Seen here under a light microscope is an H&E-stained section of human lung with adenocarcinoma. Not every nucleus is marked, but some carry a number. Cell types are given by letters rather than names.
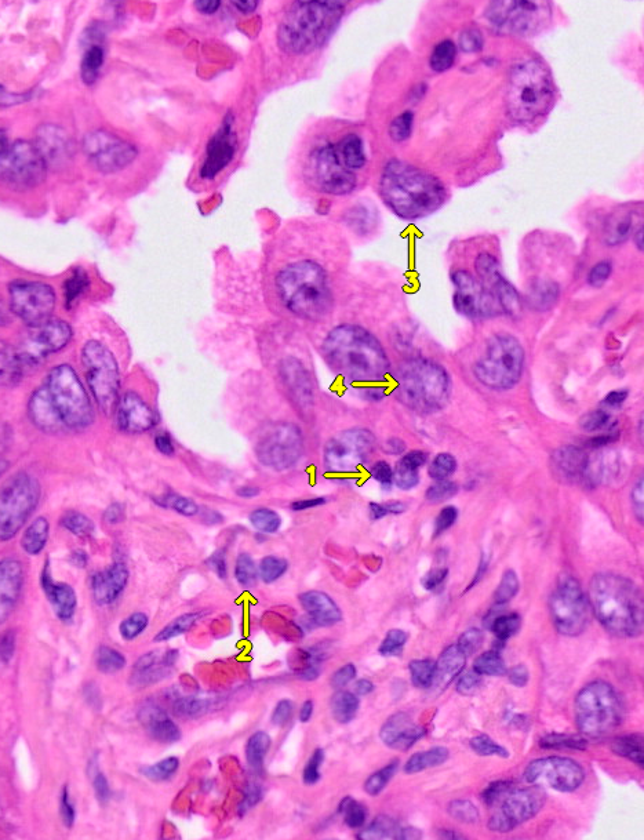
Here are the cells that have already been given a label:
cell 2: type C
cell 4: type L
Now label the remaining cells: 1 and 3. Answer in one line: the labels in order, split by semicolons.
type C; type L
